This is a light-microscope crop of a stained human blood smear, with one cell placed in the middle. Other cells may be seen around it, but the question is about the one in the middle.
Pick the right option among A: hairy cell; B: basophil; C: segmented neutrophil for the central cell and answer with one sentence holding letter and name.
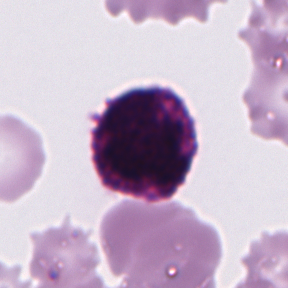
Well, the cell in the middle is a basophil, making option B right.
